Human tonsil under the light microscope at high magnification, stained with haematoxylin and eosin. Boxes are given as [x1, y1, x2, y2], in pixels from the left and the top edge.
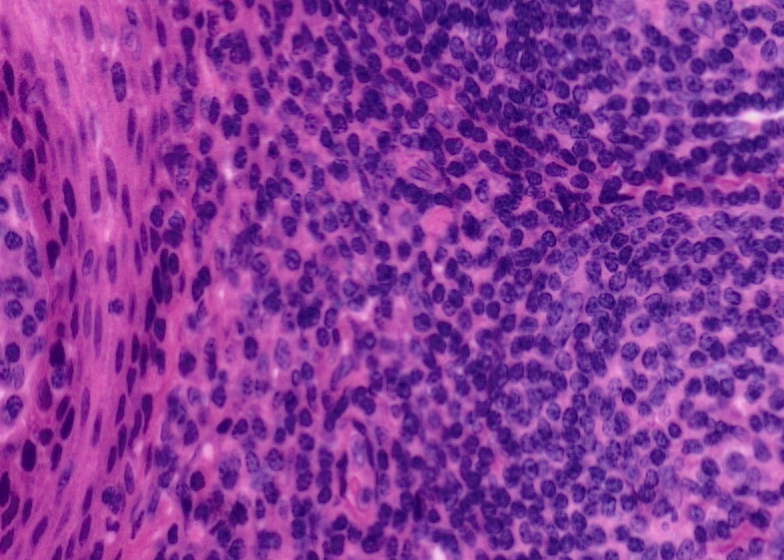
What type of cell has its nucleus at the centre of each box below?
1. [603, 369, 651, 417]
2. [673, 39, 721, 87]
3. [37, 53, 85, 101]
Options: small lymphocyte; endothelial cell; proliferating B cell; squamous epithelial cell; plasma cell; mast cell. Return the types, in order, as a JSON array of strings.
["small lymphocyte", "small lymphocyte", "squamous epithelial cell"]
